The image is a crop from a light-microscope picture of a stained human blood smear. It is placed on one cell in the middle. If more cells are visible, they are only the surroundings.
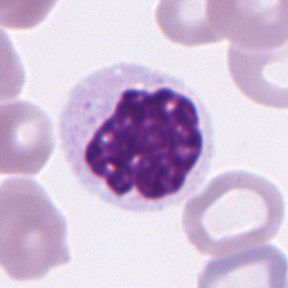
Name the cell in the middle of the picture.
neutrophil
